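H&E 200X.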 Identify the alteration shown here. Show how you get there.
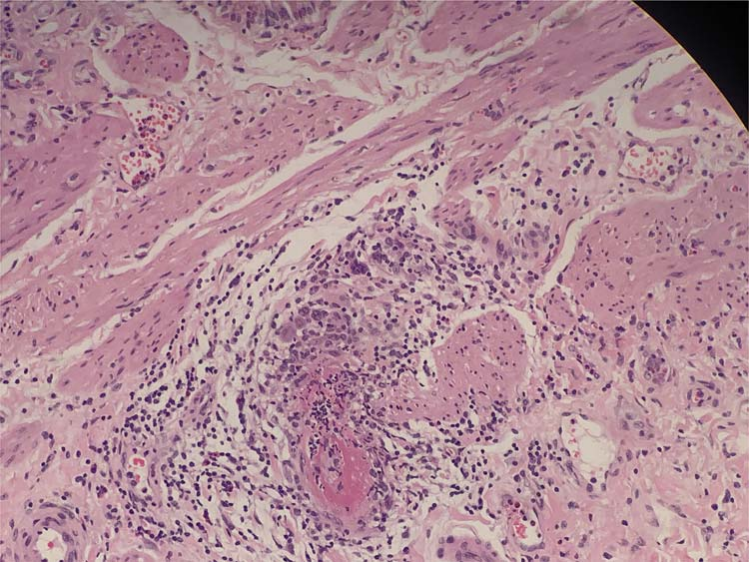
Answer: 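Fibrinoid necrosis. A small vessel in the lower centre has a wall replaced by bright, smudgy, homogeneous pink material. The normal layered structure of that vessel wall is lost.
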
